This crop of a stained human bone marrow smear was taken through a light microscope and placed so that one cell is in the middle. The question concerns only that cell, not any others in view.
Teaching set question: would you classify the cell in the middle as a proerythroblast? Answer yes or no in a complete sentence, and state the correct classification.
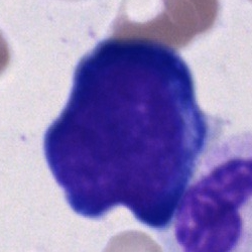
Yes, what sits in the middle of the crop is a proerythroblast.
